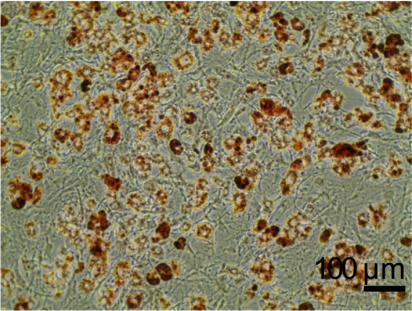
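Differentiating adipocytes in culture appear as scattered rounded cells containing clusters of small red-orange lipid droplets, some dense enough to look dark brown. These lipid-containing cells lie singly or in small groups on a background of flat, elongated, unstained spindle-shaped cells that form a continuous sheet. The droplets are small and numerous rather than fused into single large vacuoles, giving the stained cells a granular, speckled appearance.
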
